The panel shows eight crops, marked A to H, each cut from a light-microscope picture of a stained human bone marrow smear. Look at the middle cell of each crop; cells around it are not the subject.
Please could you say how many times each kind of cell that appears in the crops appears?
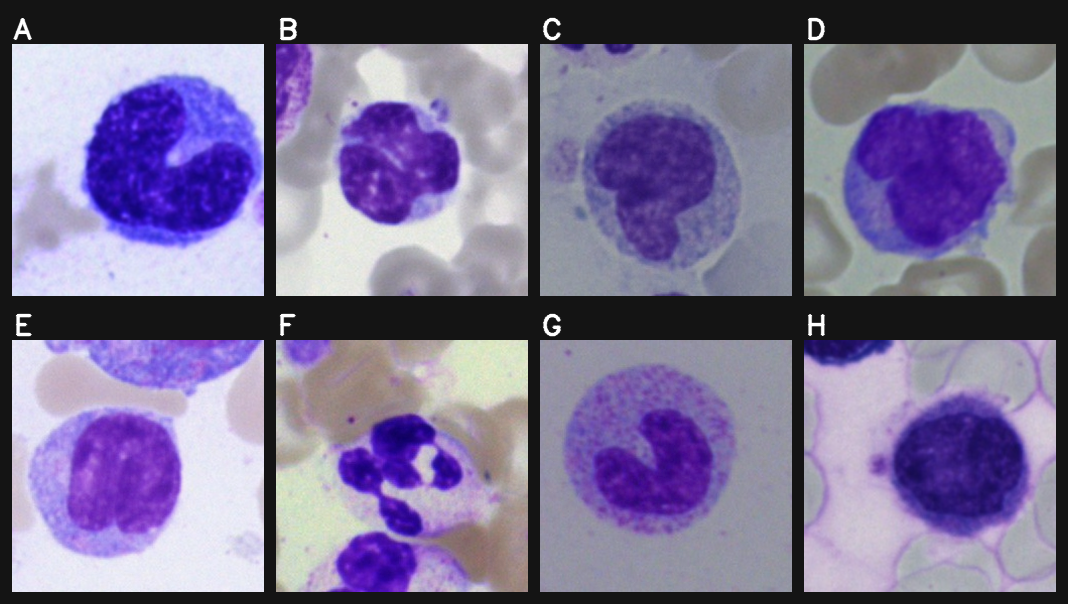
monocyte: 6
segmented neutrophil: 1
band neutrophil: 1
